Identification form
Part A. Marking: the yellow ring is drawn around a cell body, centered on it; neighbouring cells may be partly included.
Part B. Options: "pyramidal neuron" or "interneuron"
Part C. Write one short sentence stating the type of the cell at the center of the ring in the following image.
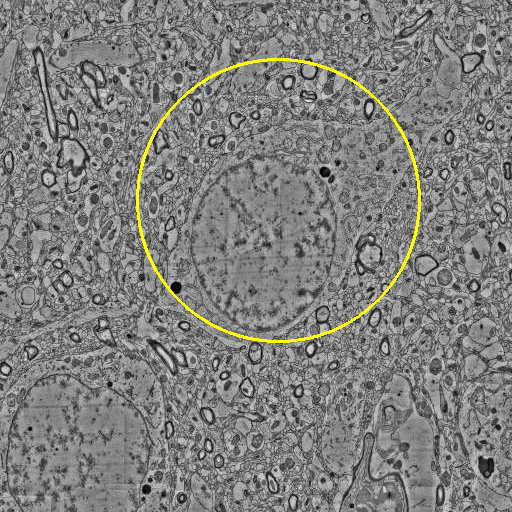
The center of the ring holds an interneuron.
